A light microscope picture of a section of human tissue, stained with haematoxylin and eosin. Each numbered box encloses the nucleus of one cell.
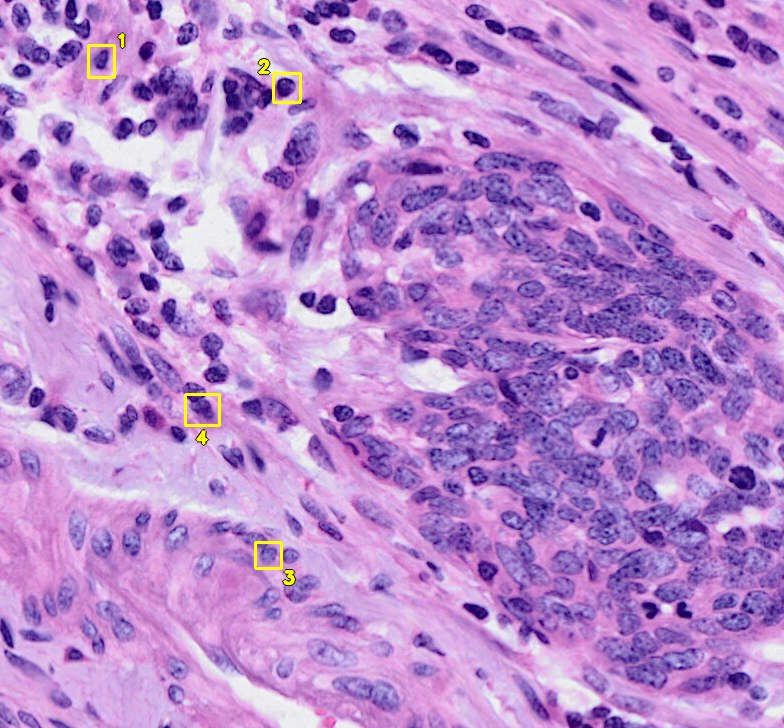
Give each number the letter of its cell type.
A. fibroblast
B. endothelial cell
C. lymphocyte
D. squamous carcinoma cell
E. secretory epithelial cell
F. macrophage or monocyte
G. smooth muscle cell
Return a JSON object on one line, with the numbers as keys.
{"1": "C", "2": "C", "3": "G", "4": "C"}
